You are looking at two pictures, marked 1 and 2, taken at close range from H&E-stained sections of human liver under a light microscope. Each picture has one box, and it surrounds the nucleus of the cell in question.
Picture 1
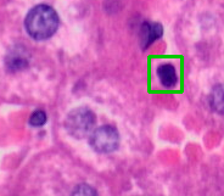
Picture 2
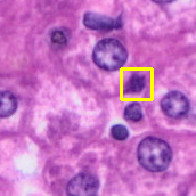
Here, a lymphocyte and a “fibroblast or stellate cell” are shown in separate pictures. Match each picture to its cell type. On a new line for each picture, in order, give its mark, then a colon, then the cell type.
1: lymphocyte
2: fibroblast or stellate cell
